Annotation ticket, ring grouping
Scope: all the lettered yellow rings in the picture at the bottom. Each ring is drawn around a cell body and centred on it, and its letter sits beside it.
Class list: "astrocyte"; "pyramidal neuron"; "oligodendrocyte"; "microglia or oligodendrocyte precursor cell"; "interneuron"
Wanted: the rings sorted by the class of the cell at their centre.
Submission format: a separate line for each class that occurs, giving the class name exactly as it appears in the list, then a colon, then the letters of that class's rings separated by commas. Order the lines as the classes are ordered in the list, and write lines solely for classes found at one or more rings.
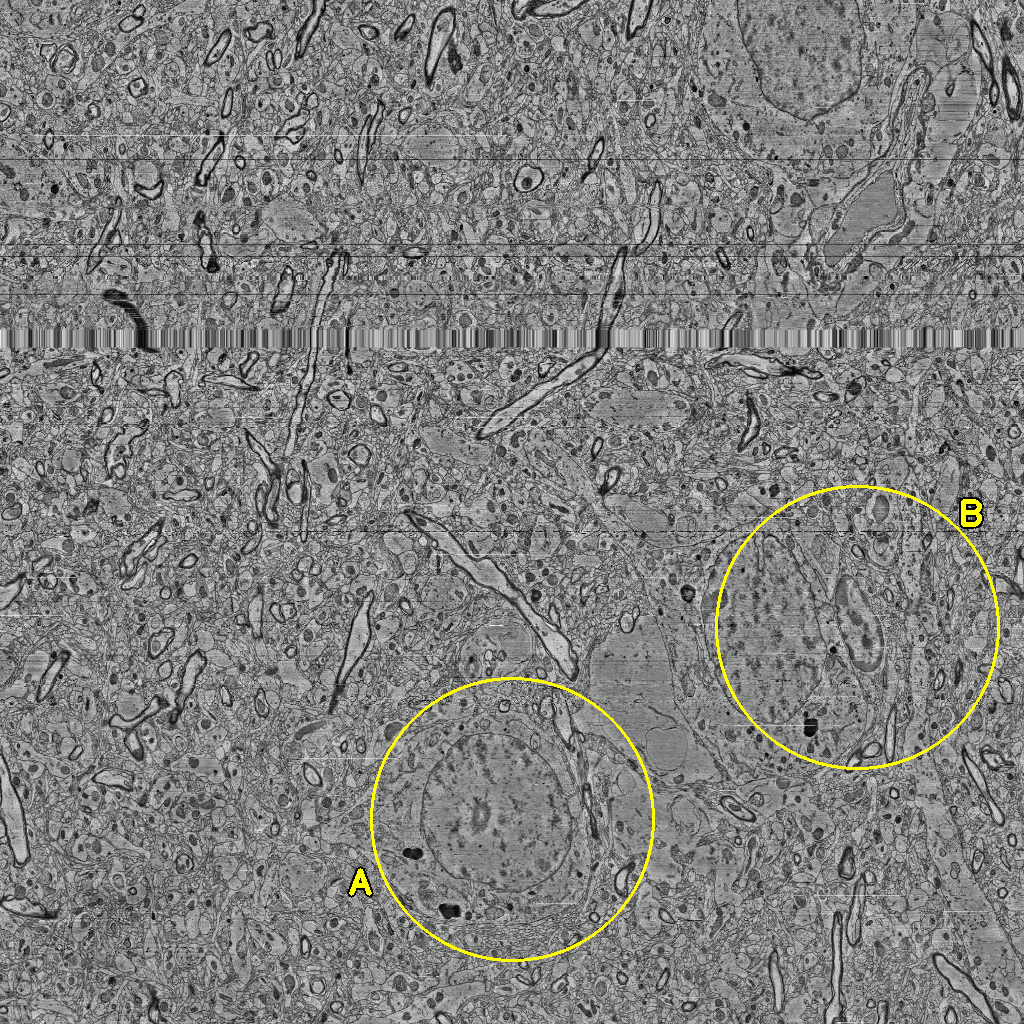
pyramidal neuron: A
microglia or oligodendrocyte precursor cell: B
